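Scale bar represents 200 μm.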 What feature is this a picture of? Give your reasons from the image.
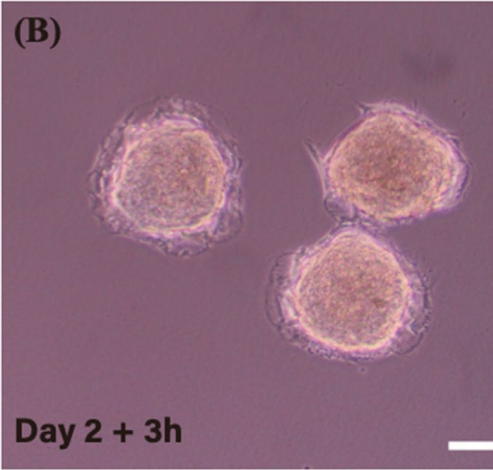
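Each body has a bright refractile rim and a dense, granular centre. A thin pale halo of flattened cells rings each body. So: spheroids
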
